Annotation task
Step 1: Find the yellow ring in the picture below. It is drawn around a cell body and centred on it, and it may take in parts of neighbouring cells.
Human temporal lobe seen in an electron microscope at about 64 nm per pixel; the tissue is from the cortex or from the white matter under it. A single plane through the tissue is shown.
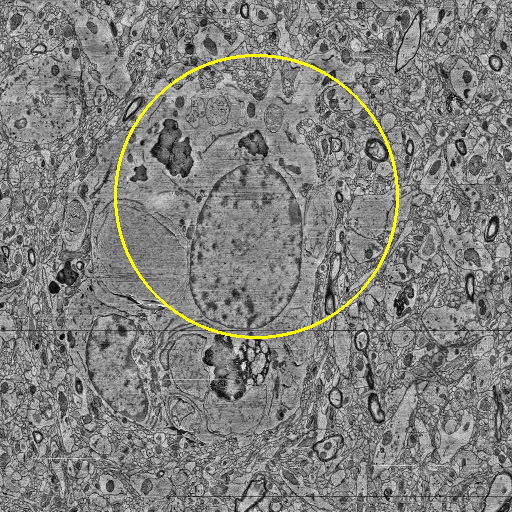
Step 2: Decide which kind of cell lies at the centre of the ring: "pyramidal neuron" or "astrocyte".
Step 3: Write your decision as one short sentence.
The kind of cell at the ring's centre is an astrocyte.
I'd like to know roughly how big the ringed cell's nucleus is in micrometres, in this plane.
Approximately 11 by 8 micrometers in this plane.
